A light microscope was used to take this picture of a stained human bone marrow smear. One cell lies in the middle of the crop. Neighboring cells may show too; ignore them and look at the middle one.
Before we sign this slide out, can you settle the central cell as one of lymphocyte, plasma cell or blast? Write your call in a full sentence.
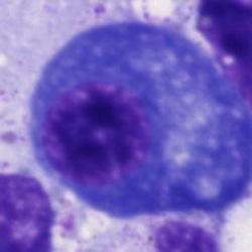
The centrally located cell in the crop is a plasma cell.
